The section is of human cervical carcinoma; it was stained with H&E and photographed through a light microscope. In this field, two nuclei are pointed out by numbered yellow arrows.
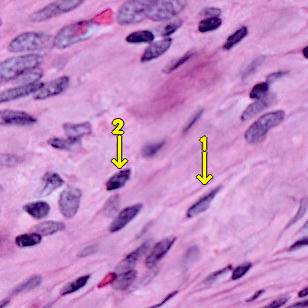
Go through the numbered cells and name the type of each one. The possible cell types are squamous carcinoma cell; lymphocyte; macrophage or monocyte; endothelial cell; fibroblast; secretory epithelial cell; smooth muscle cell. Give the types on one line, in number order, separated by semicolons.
fibroblast; lymphocyte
